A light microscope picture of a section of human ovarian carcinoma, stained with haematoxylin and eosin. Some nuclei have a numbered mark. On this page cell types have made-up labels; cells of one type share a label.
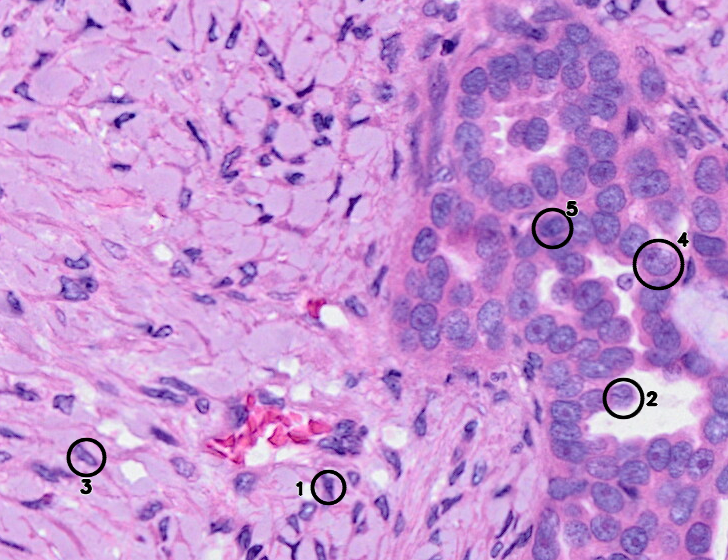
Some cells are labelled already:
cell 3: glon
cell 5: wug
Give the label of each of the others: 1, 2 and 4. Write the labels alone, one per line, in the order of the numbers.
glon
wug
wug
